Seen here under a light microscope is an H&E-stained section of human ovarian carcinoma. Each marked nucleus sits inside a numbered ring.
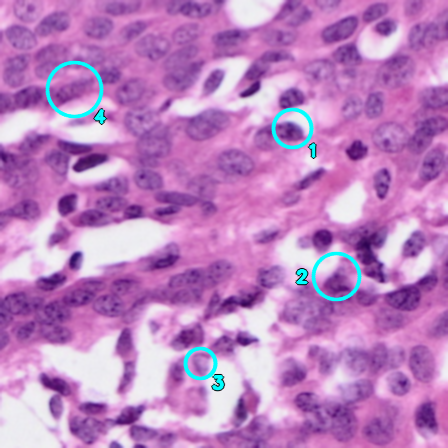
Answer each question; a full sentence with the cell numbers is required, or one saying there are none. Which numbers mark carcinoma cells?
In this section, the cells numbered 1, 2 and 4 are carcinoma cells.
